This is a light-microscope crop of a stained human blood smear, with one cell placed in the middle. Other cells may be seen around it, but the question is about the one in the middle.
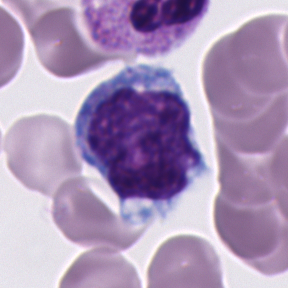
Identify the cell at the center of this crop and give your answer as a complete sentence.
At the center of the crop sits a monocyte.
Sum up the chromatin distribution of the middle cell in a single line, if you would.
If you check the nucleus, you will find the chromatin coarsely clumped.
